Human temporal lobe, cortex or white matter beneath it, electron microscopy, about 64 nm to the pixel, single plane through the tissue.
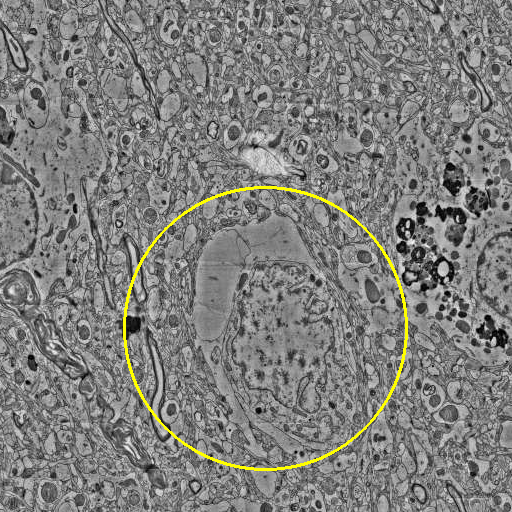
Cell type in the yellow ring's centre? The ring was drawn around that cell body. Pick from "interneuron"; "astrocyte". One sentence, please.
The ringed cell body is that of an interneuron.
